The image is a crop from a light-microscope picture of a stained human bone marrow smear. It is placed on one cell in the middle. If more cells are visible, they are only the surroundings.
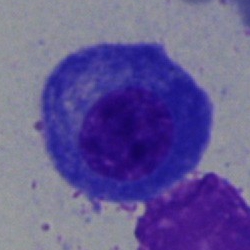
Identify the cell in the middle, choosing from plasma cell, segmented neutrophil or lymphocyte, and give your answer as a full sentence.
In the crop, the cell of interest at the centre is a plasma cell.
